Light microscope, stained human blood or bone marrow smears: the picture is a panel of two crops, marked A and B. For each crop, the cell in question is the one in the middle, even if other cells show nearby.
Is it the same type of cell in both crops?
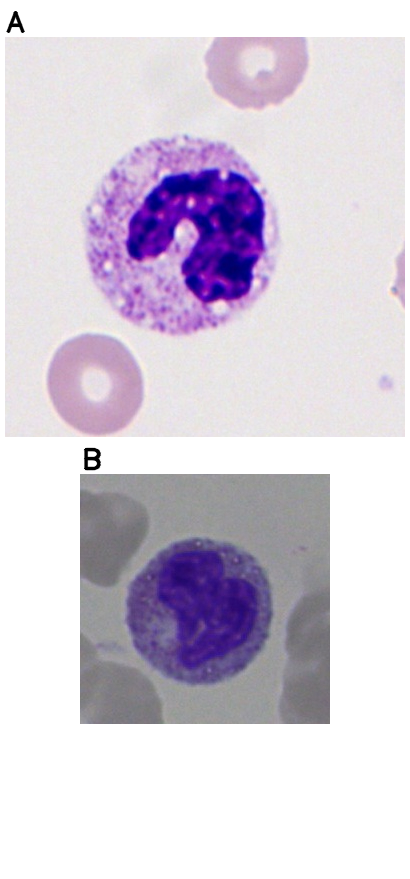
no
